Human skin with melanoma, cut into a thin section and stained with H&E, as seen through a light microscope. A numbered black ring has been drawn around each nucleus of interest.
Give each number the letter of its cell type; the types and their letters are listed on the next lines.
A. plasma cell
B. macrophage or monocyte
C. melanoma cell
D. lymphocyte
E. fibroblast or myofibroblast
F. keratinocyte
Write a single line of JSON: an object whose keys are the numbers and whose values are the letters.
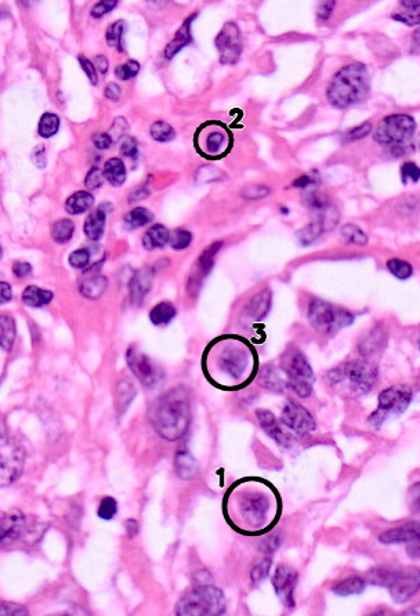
{"1": "C", "2": "D", "3": "C"}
